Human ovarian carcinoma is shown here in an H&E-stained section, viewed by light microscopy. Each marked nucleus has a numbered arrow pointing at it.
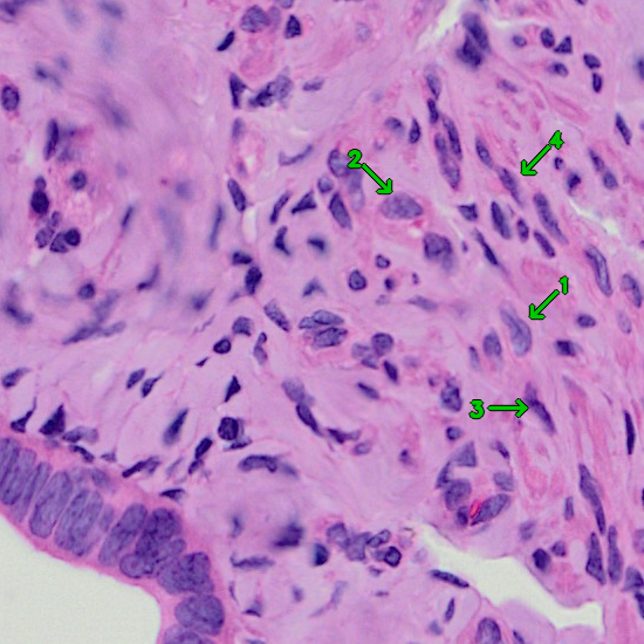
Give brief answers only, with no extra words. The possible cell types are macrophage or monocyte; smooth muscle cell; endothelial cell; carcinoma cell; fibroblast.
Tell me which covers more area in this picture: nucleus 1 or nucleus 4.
1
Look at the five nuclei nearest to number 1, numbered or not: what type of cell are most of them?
smooth muscle cell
